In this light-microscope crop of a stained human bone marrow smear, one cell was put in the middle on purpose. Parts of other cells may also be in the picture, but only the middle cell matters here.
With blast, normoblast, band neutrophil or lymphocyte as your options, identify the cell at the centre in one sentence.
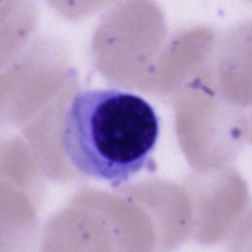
The crop's centre is taken up by a normoblast.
